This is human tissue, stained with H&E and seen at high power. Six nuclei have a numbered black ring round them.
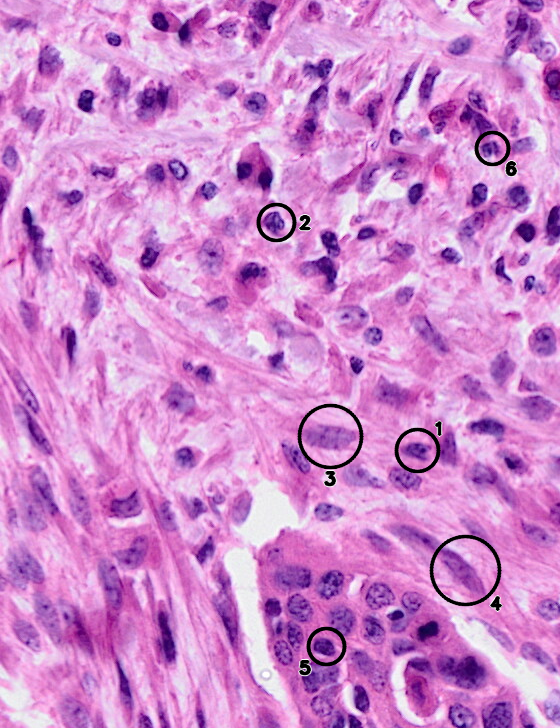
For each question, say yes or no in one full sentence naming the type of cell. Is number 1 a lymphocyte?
Yes, the marked cell with number 1 is a lymphocyte.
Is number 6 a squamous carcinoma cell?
No, cell 6, which is a lymphocyte, is not a squamous carcinoma cell.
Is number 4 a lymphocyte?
No, the cell denoted 4 is a fibroblast rather than a lymphocyte.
